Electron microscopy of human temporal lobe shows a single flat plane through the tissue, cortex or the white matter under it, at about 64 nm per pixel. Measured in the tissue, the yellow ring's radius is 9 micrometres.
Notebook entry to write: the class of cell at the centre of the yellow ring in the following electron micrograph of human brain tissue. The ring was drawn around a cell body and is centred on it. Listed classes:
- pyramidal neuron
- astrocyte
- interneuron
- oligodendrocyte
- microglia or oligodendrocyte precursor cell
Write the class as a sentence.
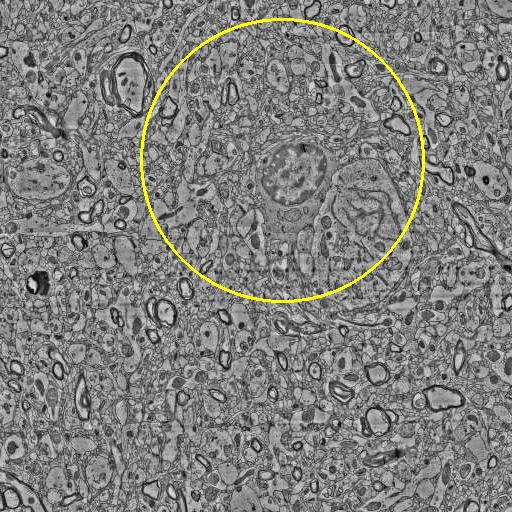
The yellow ring sits on an oligodendrocyte.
